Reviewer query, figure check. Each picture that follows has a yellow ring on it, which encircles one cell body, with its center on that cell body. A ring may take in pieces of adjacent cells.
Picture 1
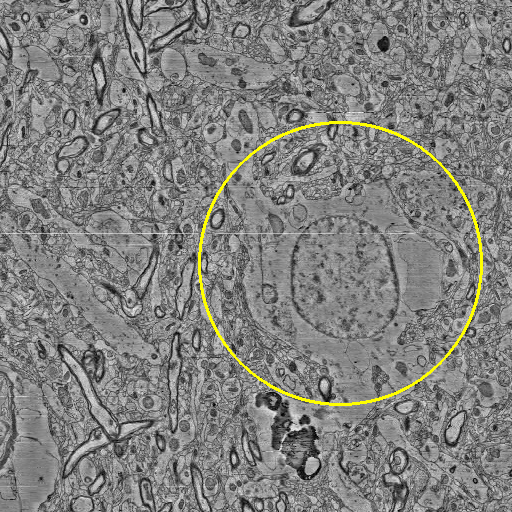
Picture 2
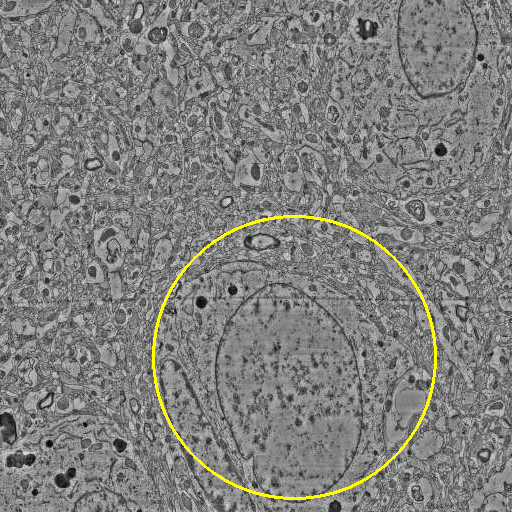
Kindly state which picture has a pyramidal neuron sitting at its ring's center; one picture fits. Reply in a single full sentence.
In picture 2, the cell at the center of the ring is the requested one.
